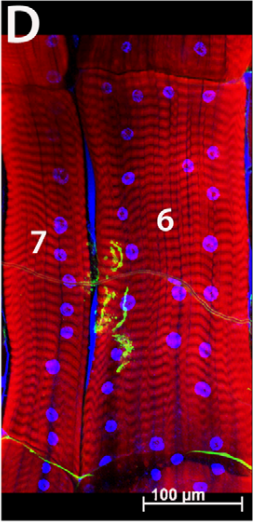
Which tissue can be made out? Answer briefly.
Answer: Muscle fibers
